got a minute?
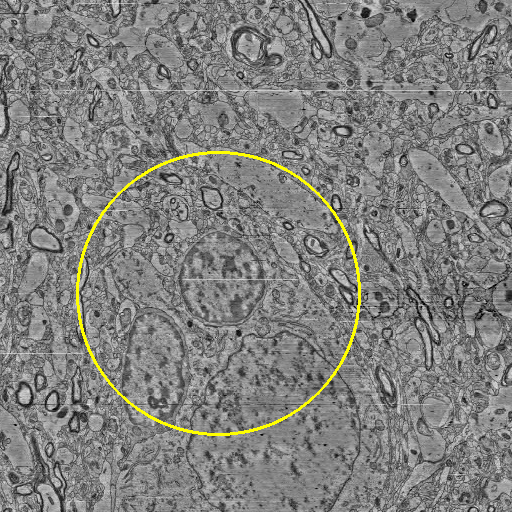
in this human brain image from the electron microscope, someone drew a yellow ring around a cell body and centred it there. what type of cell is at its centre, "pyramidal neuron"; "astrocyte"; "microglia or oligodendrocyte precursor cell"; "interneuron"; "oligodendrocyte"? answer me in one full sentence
It's an oligodendrocyte at the middle of that yellow ring in the shot.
